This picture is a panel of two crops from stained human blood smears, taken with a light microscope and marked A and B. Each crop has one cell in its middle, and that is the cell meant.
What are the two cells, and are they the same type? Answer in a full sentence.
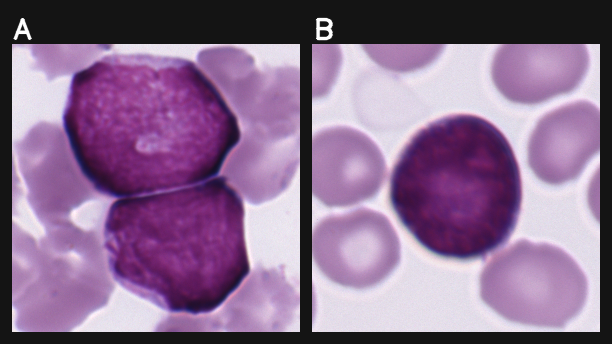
Yes, myeloblasts are present at the centre of both crops.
